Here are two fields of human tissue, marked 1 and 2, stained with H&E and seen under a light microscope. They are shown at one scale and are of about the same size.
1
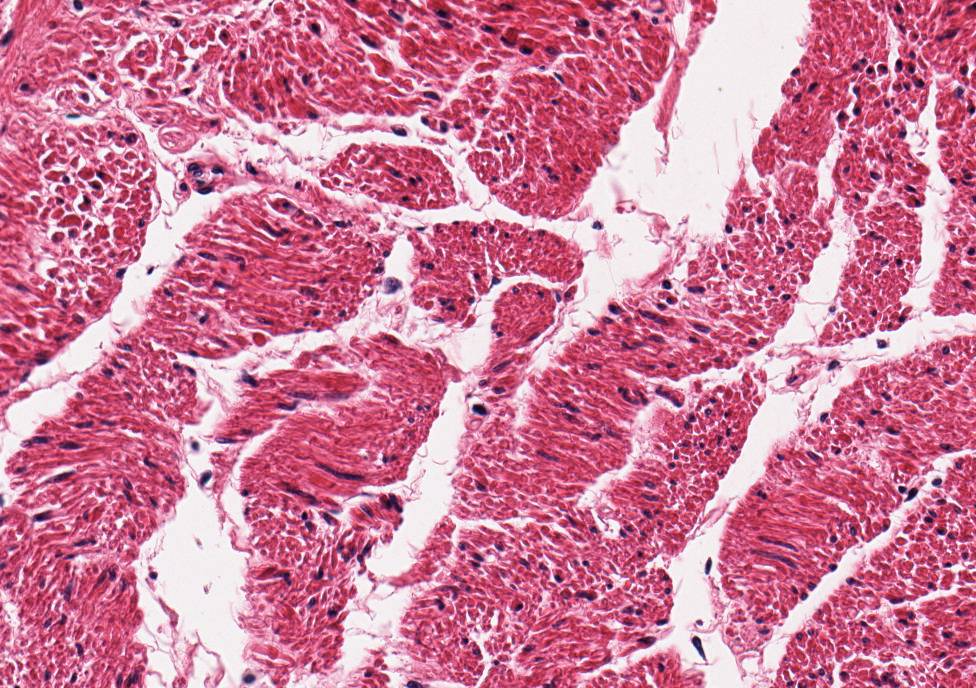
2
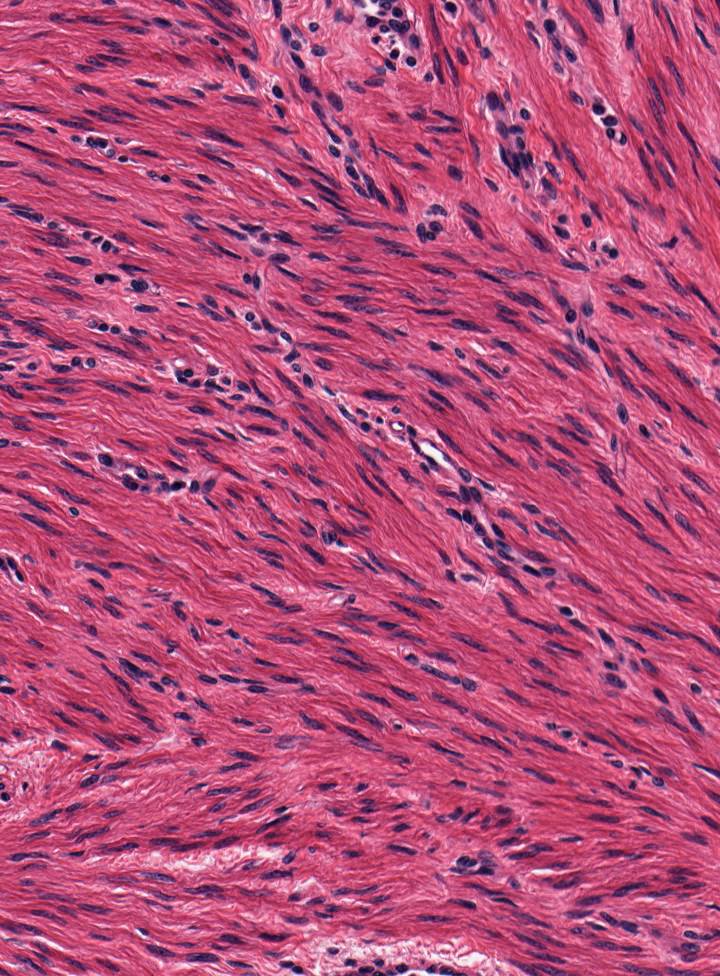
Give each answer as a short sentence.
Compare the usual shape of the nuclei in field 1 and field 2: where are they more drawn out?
Longer, more slender nuclei lie in field 2.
